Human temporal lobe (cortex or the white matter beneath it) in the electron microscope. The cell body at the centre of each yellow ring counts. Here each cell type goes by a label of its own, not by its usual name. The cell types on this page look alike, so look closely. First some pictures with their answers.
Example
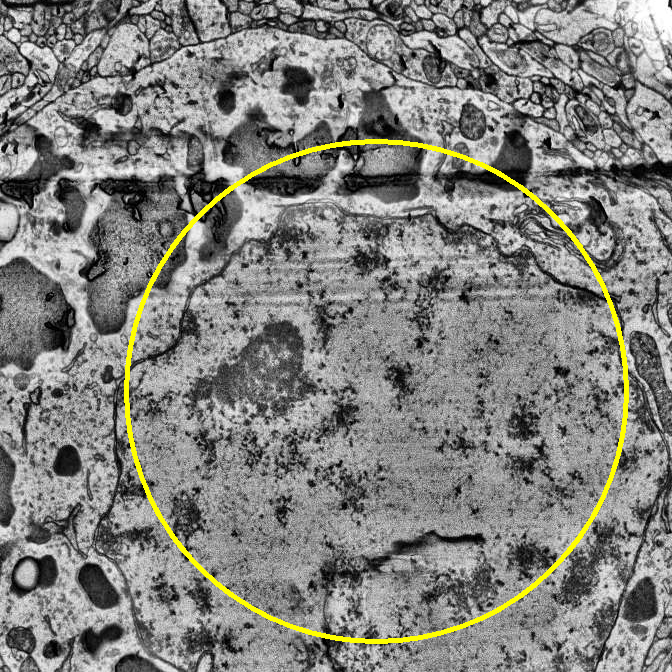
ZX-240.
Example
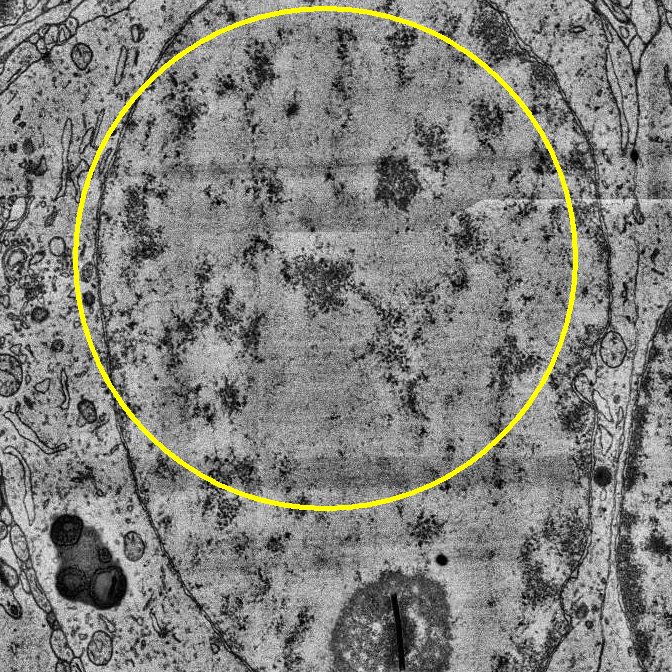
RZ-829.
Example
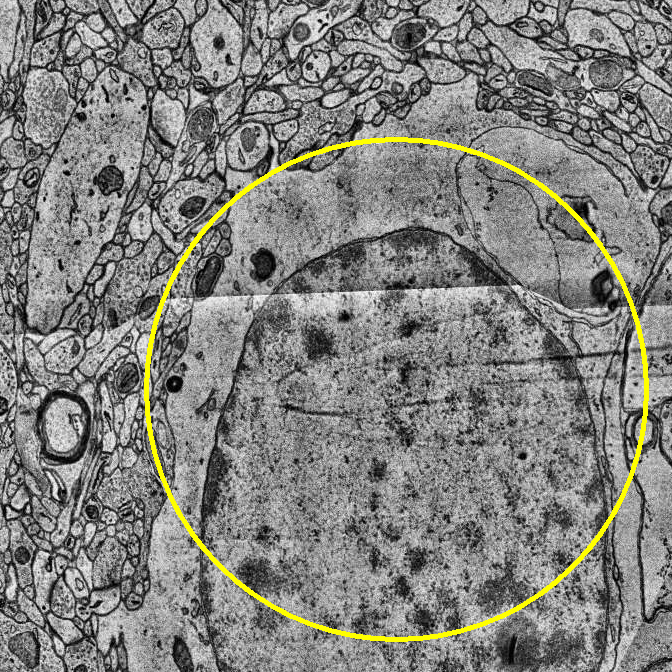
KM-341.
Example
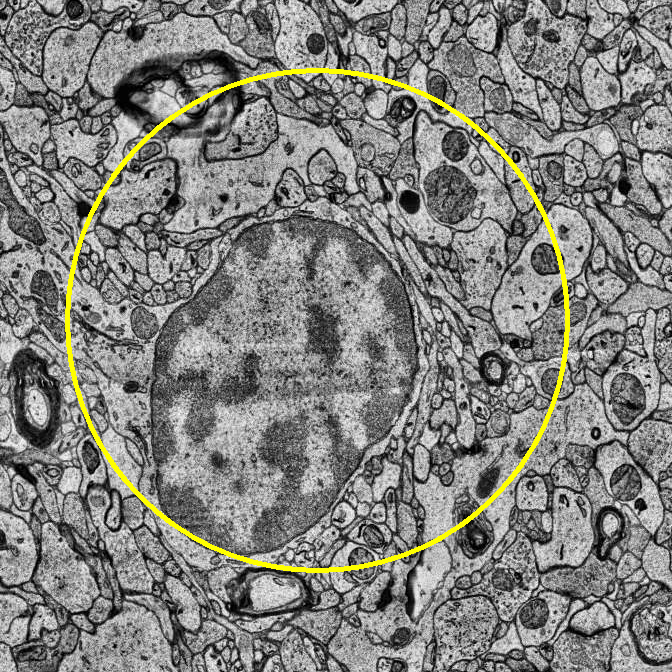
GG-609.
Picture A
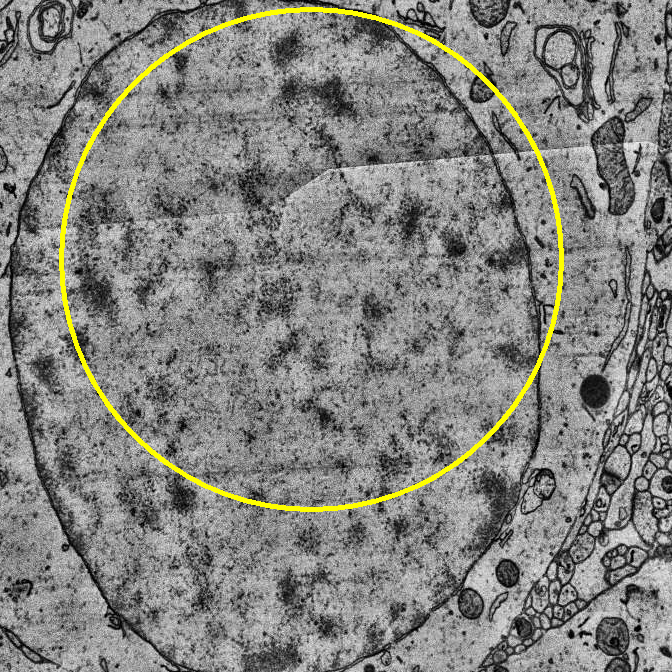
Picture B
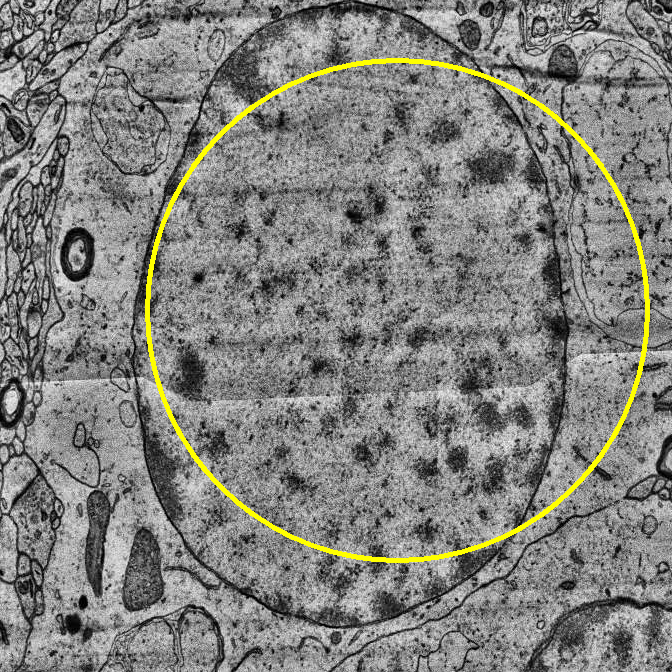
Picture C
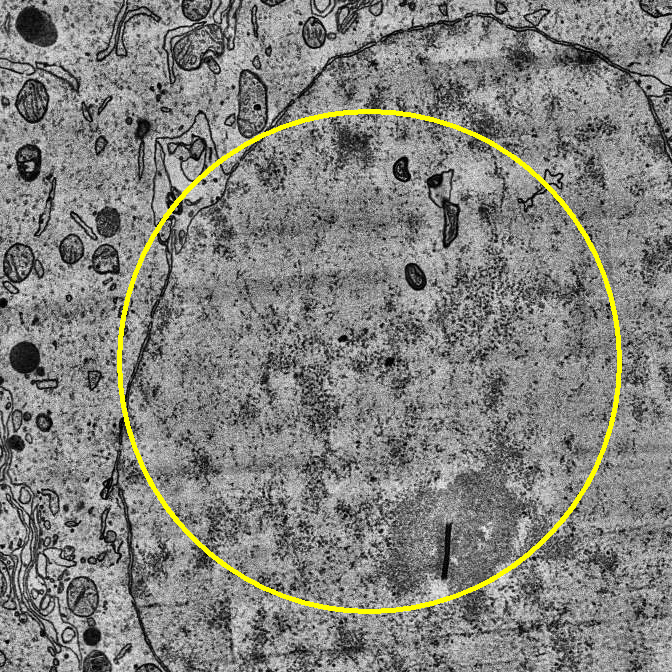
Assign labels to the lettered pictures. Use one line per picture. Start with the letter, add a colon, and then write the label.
A: RZ-829.
B: KM-341.
C: RZ-829.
